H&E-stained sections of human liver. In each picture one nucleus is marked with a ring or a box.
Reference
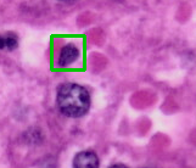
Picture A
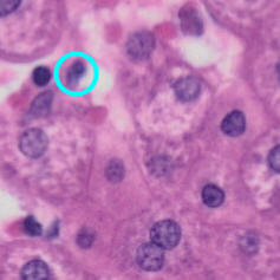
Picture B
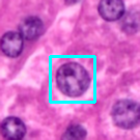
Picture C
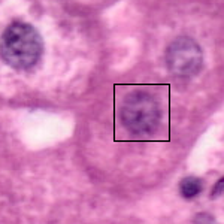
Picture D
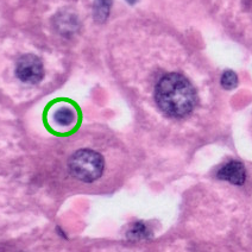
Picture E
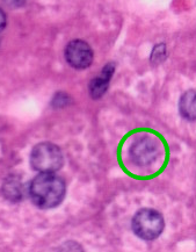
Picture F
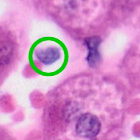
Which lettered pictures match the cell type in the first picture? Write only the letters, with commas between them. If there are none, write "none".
A, D, F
